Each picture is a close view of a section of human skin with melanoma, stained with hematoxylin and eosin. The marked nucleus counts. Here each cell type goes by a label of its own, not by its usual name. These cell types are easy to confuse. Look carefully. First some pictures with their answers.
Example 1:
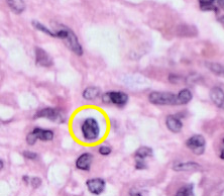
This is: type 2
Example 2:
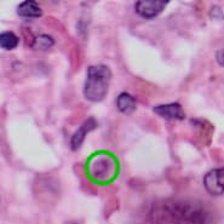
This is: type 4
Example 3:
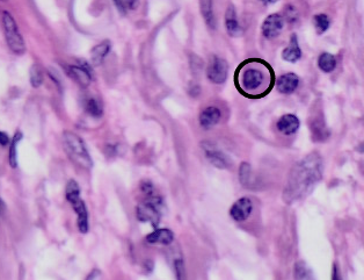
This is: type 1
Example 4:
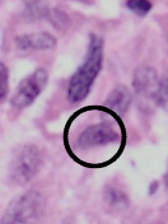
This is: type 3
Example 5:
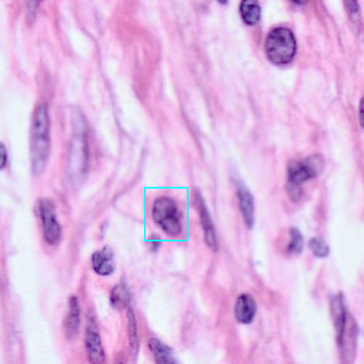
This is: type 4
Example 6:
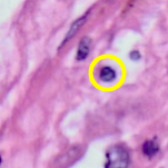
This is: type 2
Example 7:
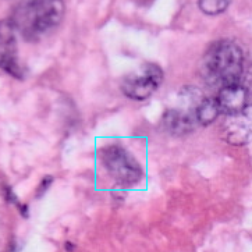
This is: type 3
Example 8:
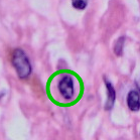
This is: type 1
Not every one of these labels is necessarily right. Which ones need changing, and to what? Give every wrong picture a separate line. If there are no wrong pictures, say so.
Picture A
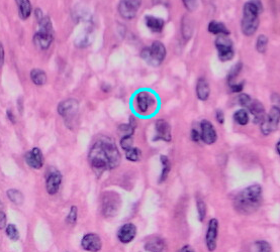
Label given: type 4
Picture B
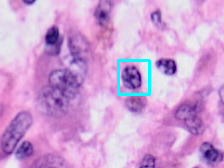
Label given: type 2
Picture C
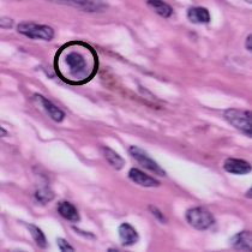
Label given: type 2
All labels are correct.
